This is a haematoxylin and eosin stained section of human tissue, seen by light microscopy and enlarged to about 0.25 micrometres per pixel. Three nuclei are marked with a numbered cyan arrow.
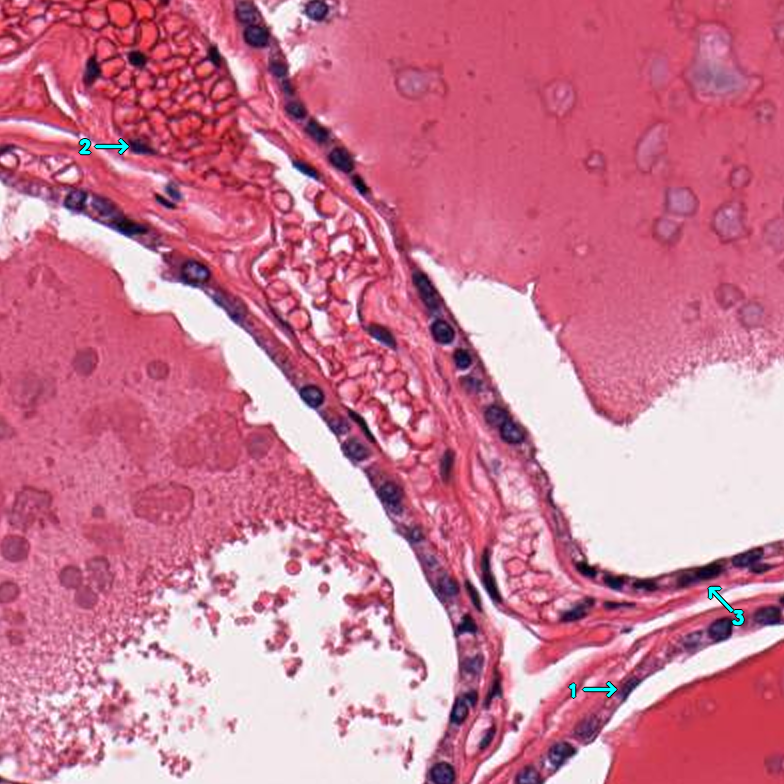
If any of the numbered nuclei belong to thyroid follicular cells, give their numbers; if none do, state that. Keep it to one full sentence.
The cells carrying nuclei 1 and 3 are thyroid follicular cells.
